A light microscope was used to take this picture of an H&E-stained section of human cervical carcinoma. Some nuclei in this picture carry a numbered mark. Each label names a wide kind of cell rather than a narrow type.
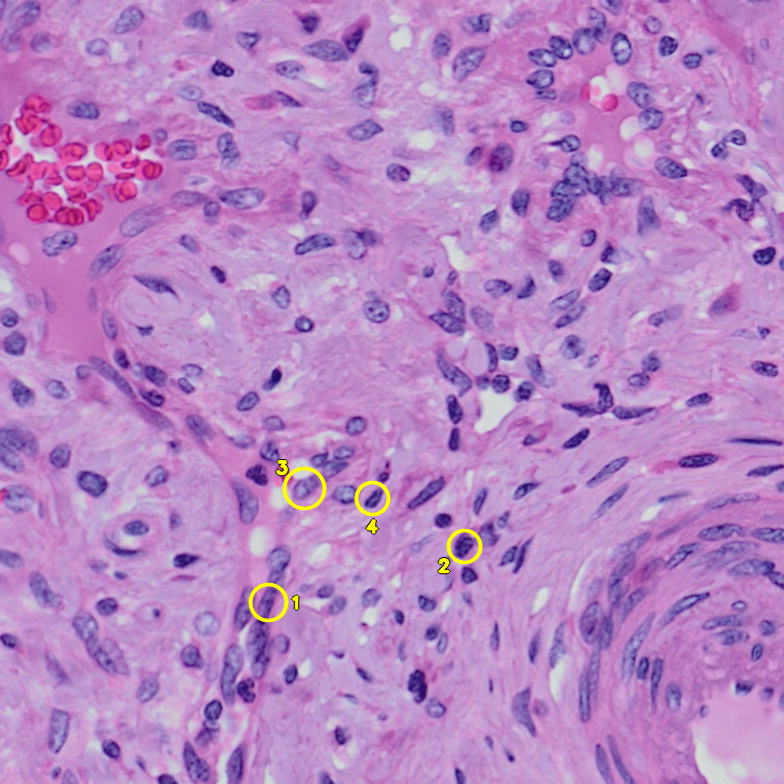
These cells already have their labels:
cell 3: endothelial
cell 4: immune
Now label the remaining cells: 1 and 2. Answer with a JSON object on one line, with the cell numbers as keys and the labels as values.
{"1": "endothelial", "2": "immune"}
